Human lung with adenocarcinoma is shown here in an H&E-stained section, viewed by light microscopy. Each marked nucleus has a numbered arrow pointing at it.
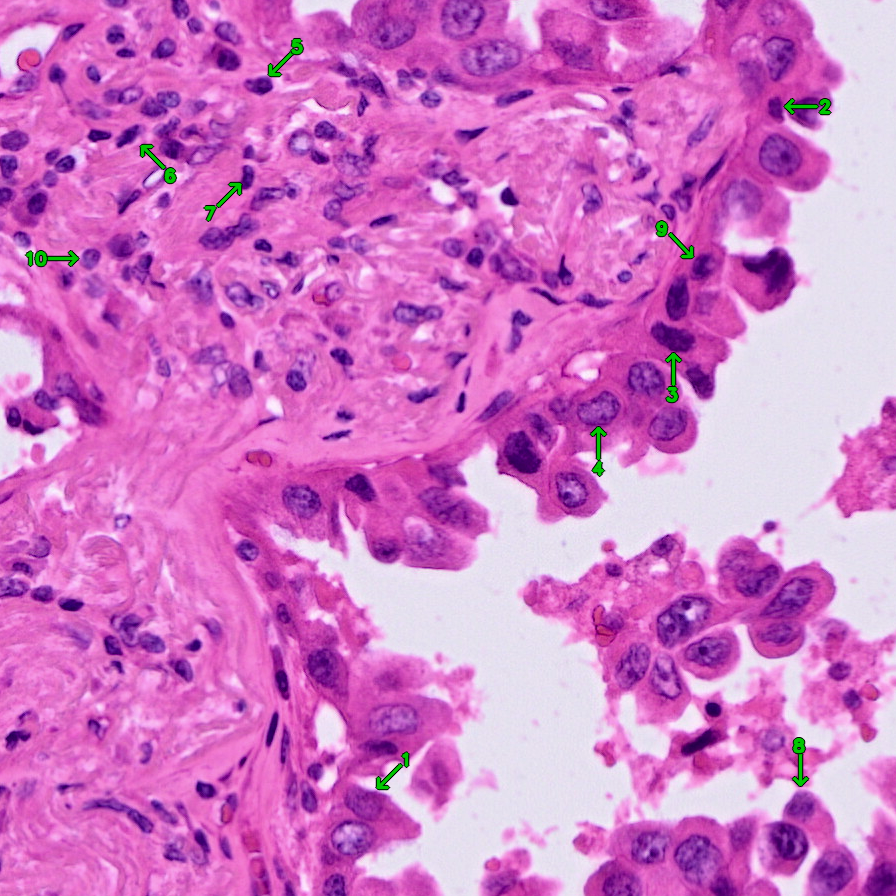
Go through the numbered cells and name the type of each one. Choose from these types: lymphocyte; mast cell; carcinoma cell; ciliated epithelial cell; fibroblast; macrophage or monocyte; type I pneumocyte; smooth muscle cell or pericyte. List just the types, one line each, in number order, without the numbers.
carcinoma cell
carcinoma cell
carcinoma cell
carcinoma cell
lymphocyte
lymphocyte
lymphocyte
carcinoma cell
carcinoma cell
lymphocyte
